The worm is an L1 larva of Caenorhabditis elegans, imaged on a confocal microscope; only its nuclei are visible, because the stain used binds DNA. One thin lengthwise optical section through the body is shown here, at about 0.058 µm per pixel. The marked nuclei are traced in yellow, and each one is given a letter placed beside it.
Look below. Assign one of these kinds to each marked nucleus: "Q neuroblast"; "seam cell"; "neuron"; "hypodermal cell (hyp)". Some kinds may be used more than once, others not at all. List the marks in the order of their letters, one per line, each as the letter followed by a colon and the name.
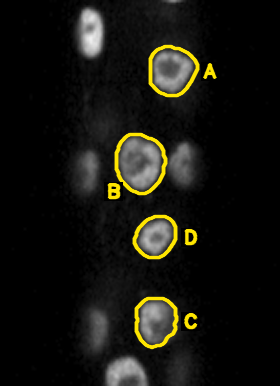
A: seam cell
B: hypodermal cell (hyp)
C: seam cell
D: Q neuroblast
